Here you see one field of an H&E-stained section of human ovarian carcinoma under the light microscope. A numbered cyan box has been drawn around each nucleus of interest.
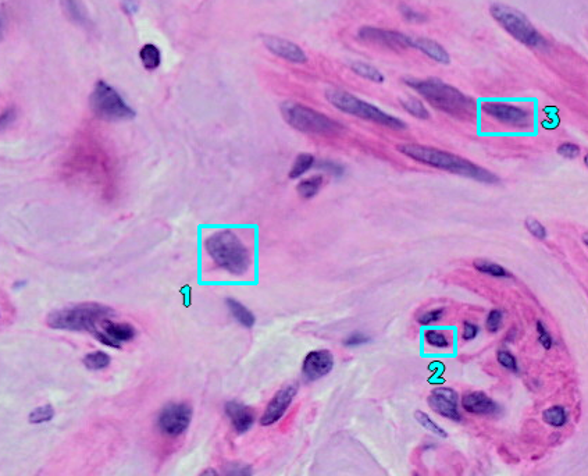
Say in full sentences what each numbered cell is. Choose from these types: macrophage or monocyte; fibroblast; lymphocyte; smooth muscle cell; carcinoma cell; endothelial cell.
Cell 1 is a fibroblast. Cells 2 and 3 are smooth muscle cells.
